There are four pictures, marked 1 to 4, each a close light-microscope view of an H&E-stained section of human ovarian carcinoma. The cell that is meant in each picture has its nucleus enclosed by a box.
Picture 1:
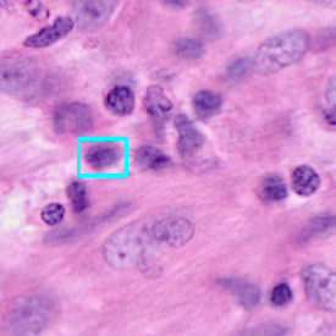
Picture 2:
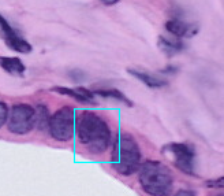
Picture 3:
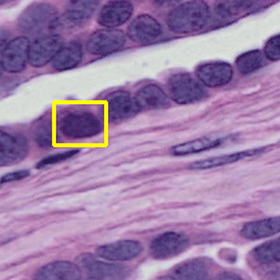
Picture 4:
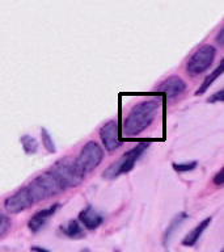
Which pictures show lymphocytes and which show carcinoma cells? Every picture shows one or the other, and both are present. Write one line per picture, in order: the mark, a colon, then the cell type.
1: lymphocyte
2: carcinoma cell
3: carcinoma cell
4: carcinoma cell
